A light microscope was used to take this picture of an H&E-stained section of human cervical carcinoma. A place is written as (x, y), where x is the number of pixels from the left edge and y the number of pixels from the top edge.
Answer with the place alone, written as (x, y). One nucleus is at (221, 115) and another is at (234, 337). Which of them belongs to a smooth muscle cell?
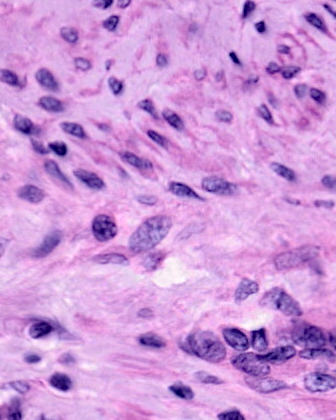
(221, 115)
